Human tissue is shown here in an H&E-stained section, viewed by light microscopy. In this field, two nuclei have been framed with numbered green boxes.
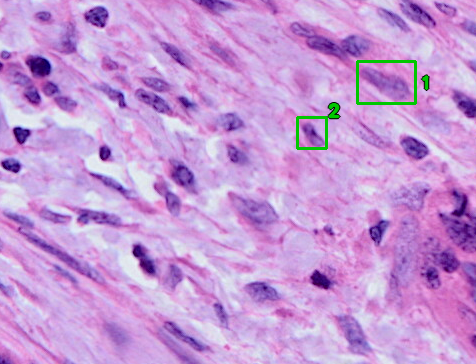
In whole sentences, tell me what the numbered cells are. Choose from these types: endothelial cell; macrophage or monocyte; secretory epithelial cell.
Cell 1 is an endothelial cell. Cell 2 is a macrophage or monocyte.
